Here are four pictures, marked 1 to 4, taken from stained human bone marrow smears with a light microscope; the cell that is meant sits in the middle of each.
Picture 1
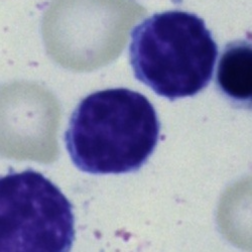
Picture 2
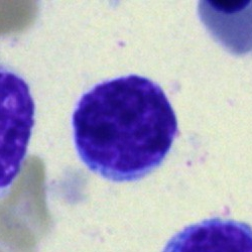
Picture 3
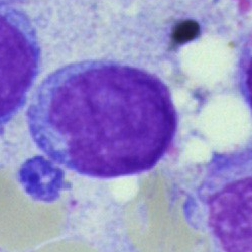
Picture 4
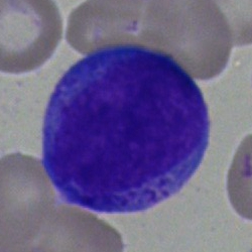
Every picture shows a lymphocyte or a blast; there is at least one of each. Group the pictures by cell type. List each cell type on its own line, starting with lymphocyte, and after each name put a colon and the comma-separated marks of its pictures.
lymphocyte: 1, 2
blast: 3, 4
